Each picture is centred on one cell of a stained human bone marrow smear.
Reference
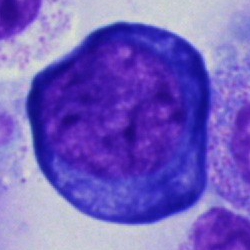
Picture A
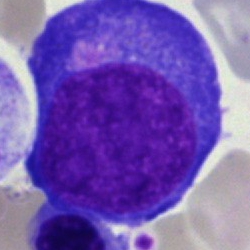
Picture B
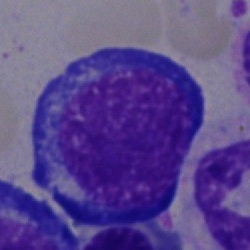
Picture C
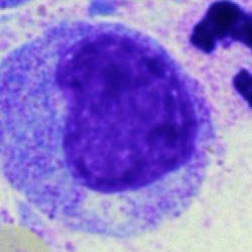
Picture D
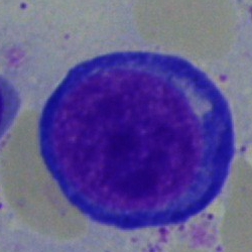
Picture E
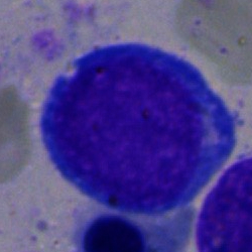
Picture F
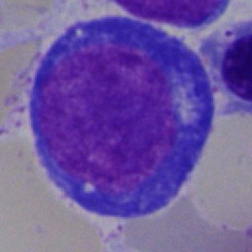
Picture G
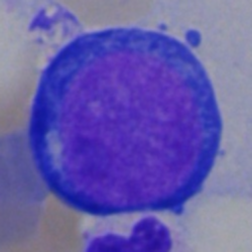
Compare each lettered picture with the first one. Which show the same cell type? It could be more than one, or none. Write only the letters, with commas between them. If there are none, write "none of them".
A, B, D, E, F, G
